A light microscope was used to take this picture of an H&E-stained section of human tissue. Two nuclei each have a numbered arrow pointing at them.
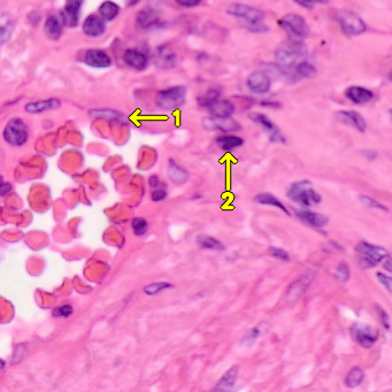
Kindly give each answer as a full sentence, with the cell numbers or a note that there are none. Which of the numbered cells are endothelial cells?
Cell 1 is an endothelial cell, and this holds for no other numbered cell.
